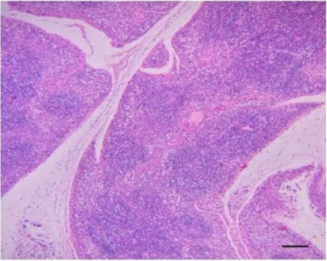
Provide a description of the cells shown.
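This is thymus, with lobules of densely packed purple lymphocytes separated by pale pink connective tissue septa. Broad, loose, pale septa cross the upper part of the field. Within the lobules, darker and paler regions are mixed irregularly rather than forming a dark outer cortex around a pale central medulla. The packing of cells looks uneven, with some looser, paler areas. A few small vessels with pink-red contents lie within the tissue.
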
